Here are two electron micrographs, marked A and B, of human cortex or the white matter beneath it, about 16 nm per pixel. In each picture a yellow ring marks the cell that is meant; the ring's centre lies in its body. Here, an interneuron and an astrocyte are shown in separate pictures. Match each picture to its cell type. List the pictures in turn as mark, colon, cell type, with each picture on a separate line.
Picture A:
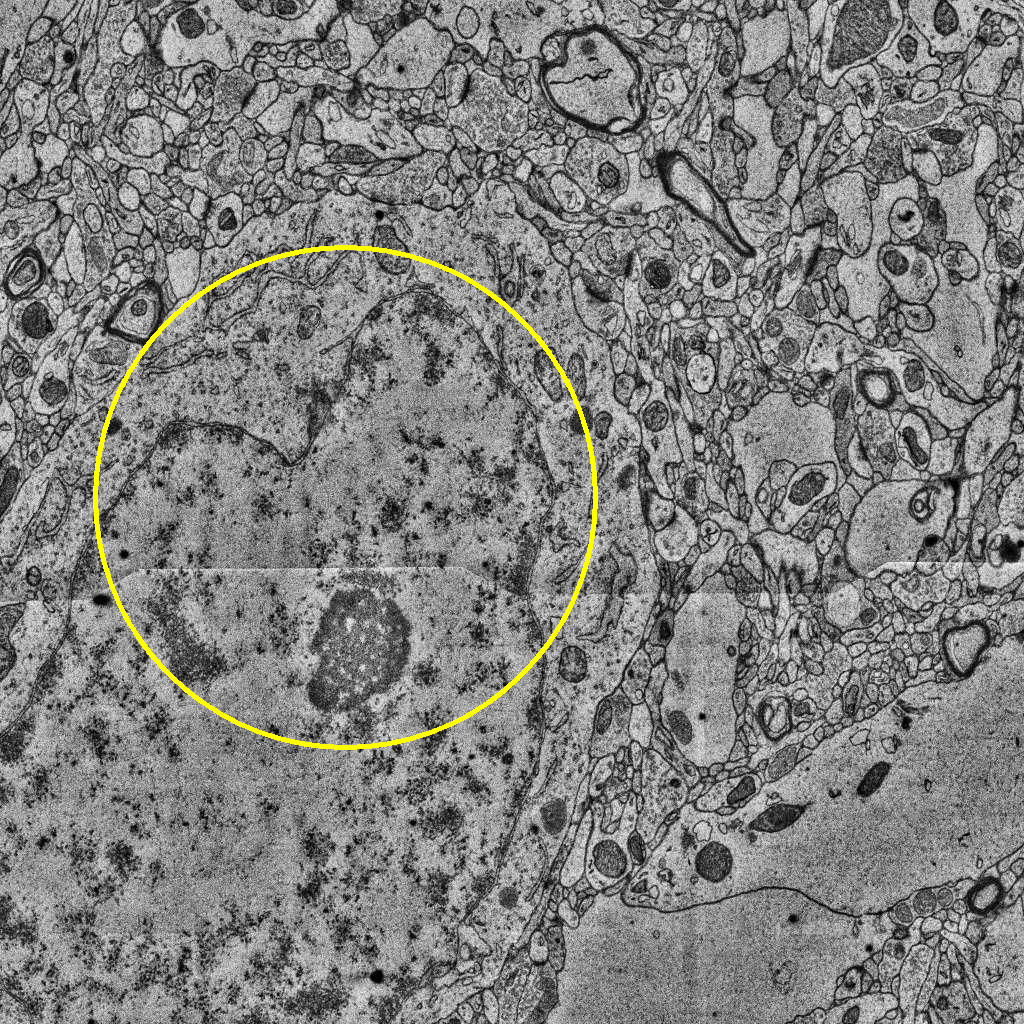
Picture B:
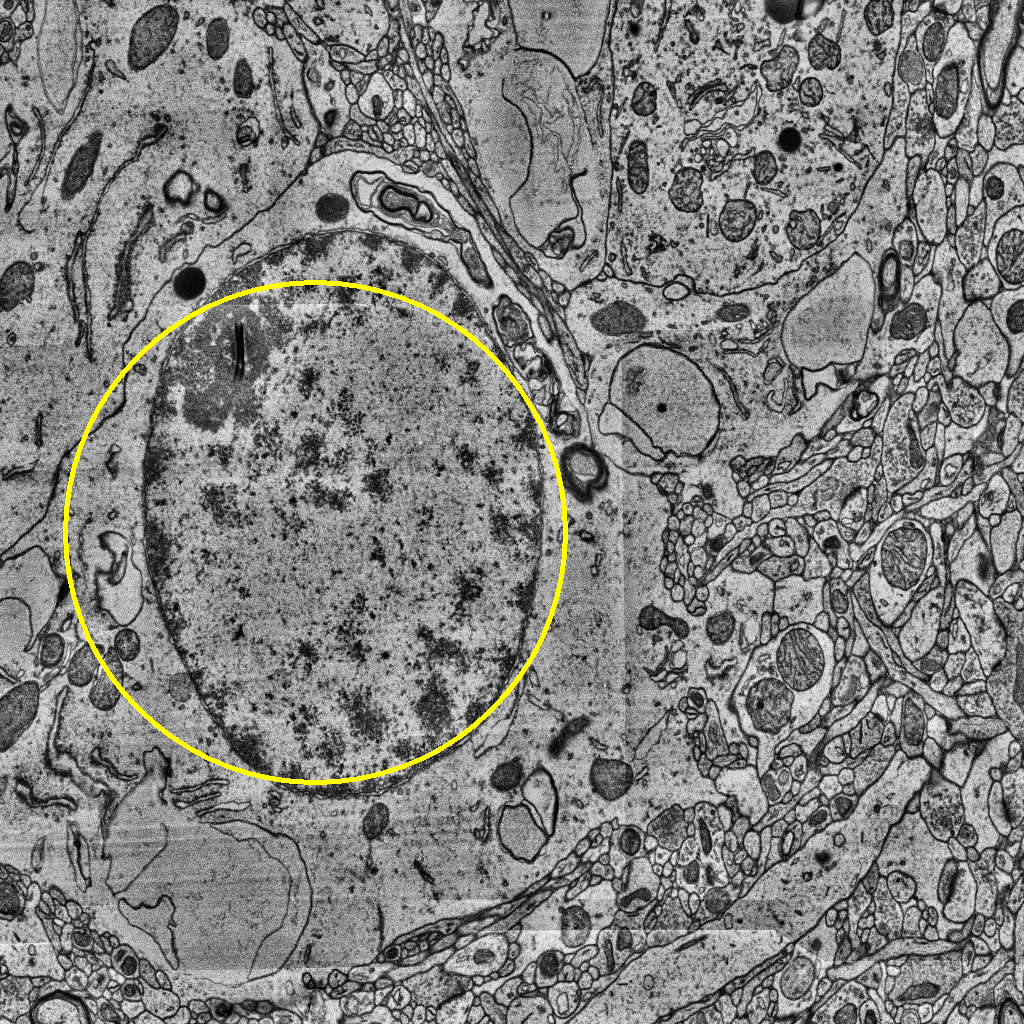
A: interneuron
B: astrocyte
